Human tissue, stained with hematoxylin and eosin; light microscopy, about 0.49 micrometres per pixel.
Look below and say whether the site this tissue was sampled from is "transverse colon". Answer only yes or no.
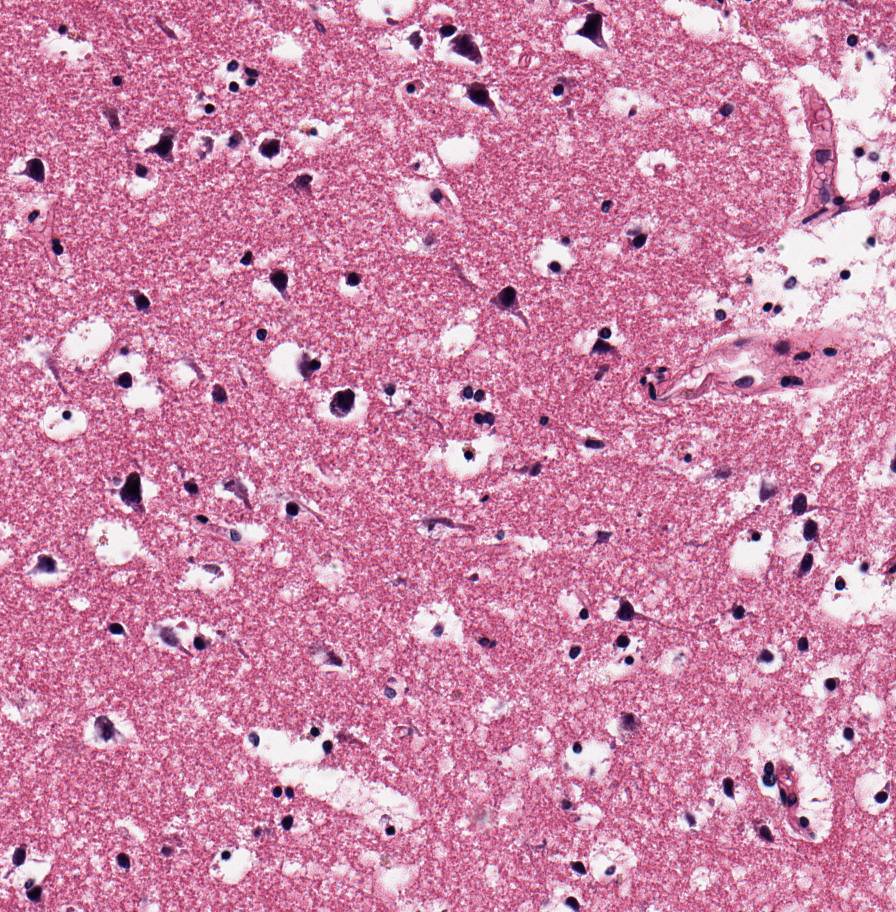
no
